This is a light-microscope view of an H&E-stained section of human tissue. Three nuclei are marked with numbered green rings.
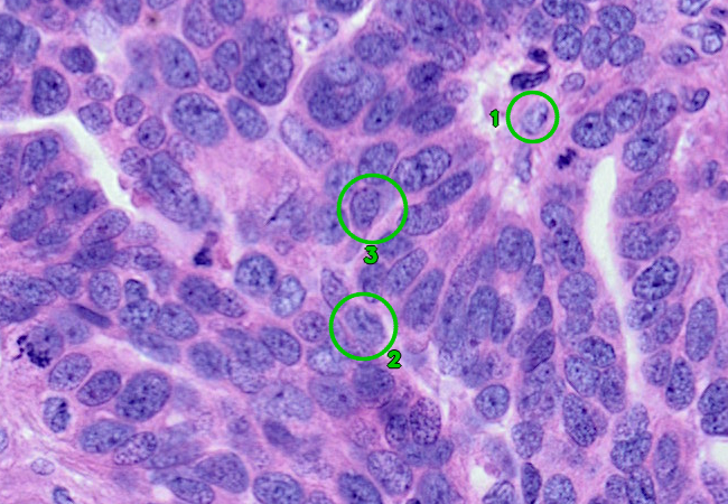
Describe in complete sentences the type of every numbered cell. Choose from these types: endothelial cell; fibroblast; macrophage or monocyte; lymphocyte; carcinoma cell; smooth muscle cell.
Cell 1 is a fibroblast, cell 2 is a carcinoma cell and cell 3 is a carcinoma cell.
